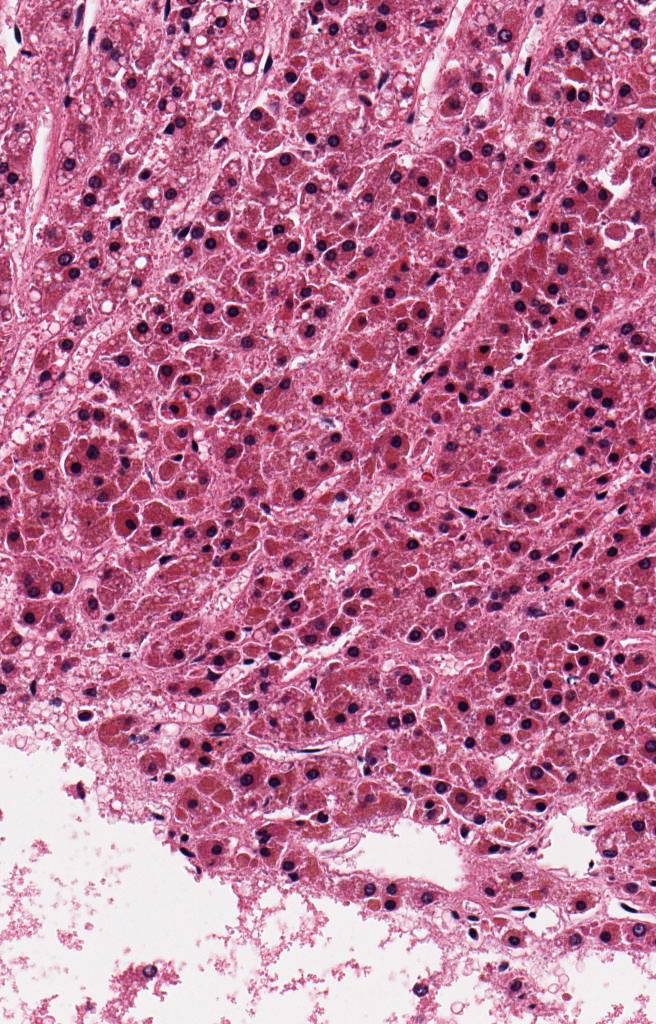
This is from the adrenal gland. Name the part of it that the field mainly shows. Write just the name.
zona reticularis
